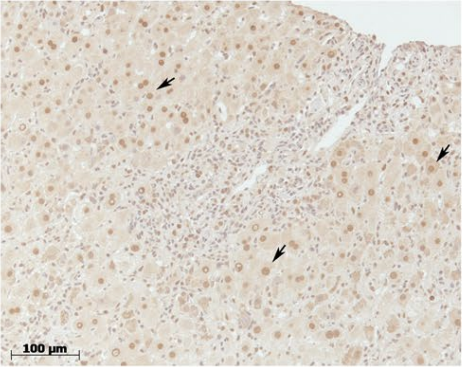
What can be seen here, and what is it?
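This is liver parenchyma in which many hepatocytes show brown-stained round nuclei against a lightly brown cytoplasm. The hepatocytes are large polygonal cells arranged in plates, with the stained nuclei scattered widely across the field. Through the middle runs a band of more densely cellular tissue with small blue nuclei, where the regular plate architecture is disrupted. Small vascular spaces appear within this band. The contrast between the crowded small-nucleated zone and the surrounding hepatocytes is evident.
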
